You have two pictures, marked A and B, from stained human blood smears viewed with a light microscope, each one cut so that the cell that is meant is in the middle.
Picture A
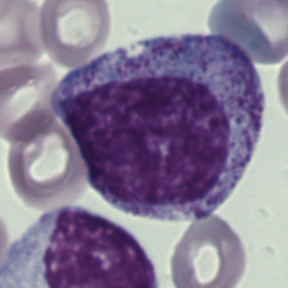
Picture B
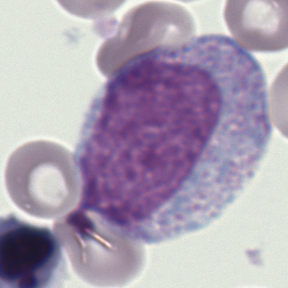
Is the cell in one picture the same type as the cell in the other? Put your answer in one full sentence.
Yes, the two pictures both show promyelocytes.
